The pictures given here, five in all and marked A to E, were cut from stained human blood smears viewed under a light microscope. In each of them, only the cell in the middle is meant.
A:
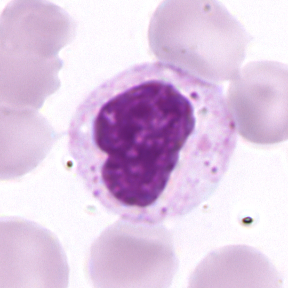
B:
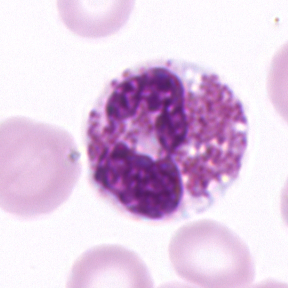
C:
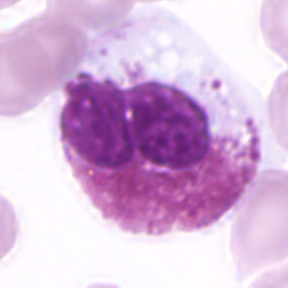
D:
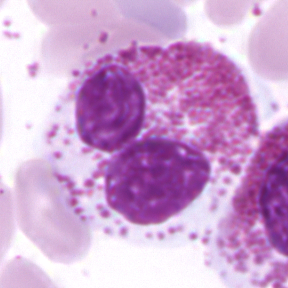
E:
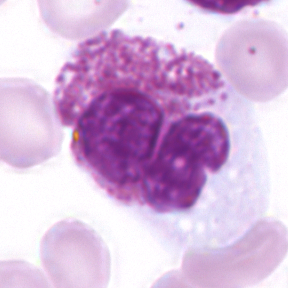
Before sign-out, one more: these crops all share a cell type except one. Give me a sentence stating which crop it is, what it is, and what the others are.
All the crops show eosinophils except crop A, which shows a band neutrophil.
